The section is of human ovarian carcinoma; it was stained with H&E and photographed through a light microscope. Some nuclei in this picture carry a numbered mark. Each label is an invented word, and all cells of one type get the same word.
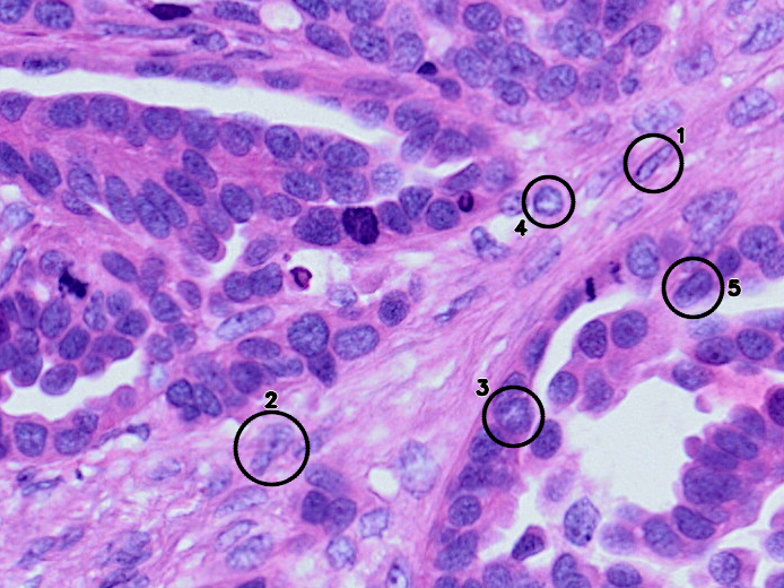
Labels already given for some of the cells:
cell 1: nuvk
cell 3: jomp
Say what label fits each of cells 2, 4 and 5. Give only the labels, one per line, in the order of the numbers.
nuvk
nuvk
jomp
